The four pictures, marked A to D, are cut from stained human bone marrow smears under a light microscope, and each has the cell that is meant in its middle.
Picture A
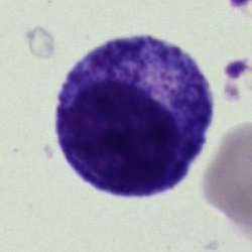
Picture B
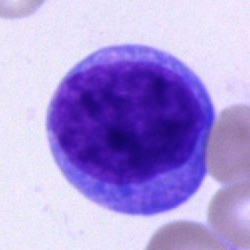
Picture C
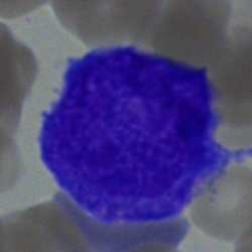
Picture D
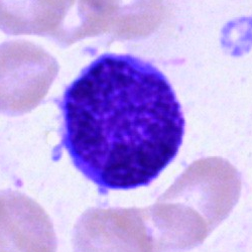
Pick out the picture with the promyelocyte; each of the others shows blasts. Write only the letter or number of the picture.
A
